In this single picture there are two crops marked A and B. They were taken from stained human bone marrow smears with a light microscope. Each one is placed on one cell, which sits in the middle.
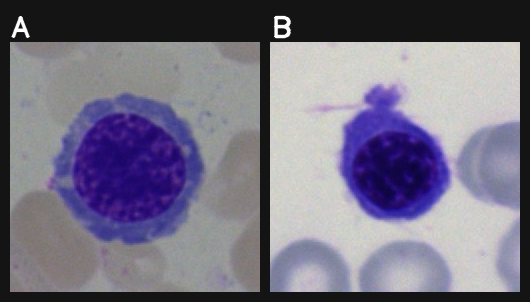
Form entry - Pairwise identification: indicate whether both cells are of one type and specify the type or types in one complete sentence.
Yes, the same answer goes for both crops, namely erythroblasts.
